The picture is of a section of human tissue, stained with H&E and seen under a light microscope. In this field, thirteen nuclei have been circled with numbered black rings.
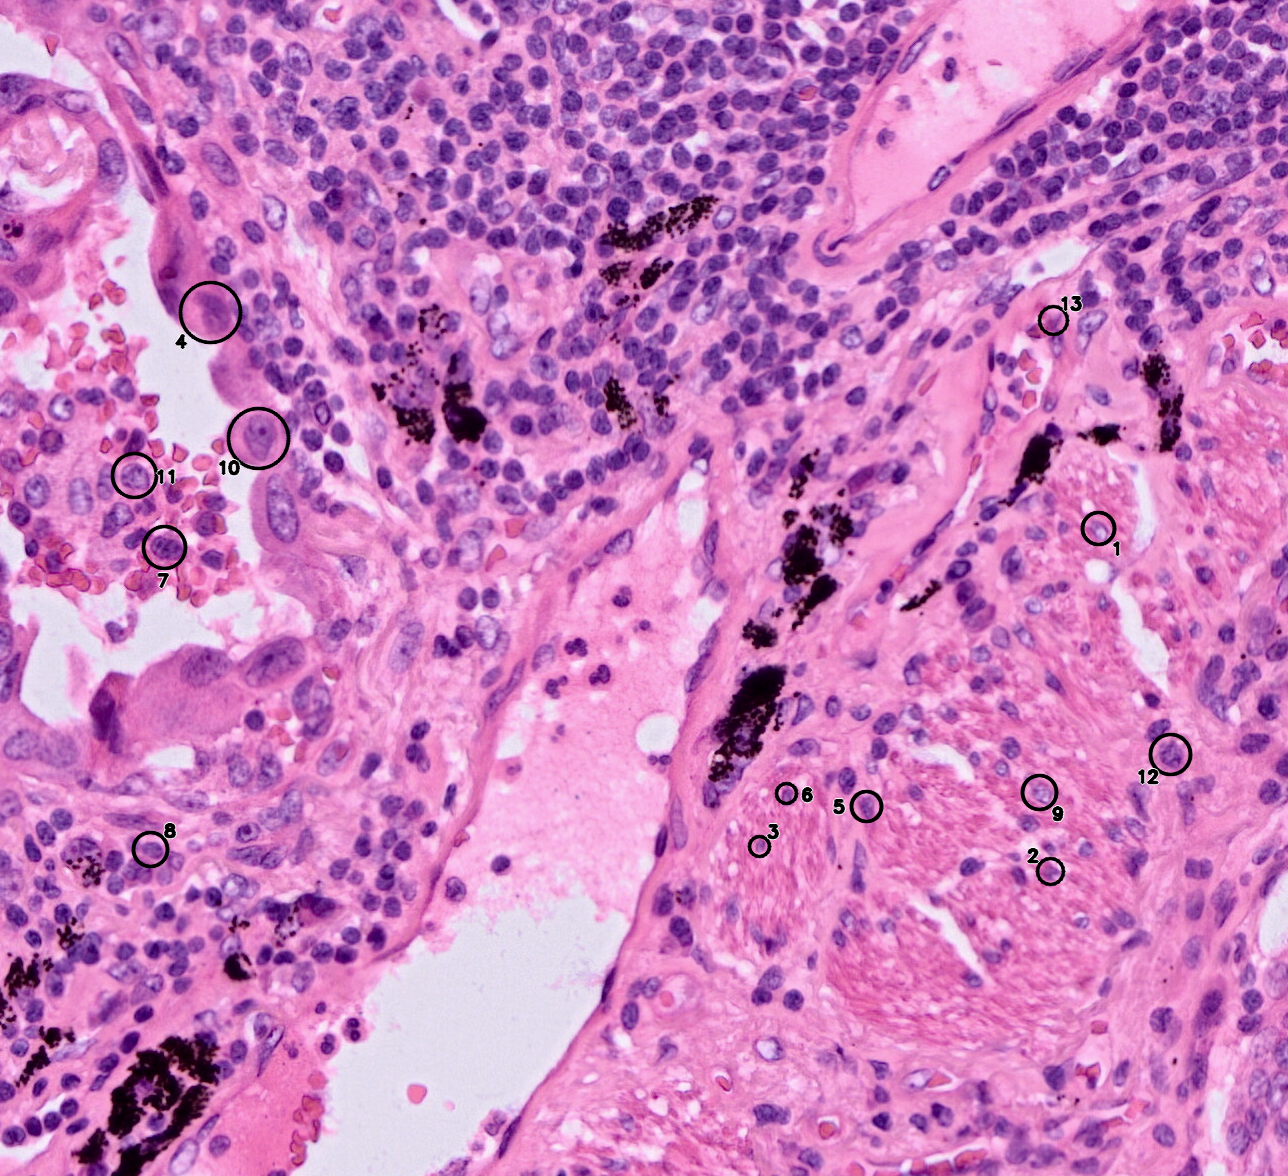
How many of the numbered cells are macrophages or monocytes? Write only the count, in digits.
2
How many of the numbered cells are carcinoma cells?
2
